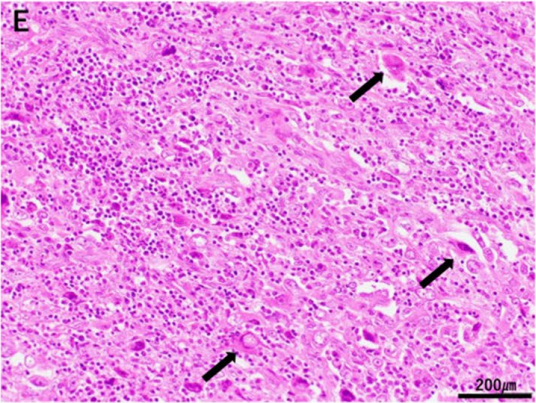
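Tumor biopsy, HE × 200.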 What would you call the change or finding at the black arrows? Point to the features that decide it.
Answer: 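The arrowed cells have nuclei clearly larger than those of the surrounding small round cells. The arrowed cells are scattered singly within a loose pink stroma. On this evidence: enlarged nucleus.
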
